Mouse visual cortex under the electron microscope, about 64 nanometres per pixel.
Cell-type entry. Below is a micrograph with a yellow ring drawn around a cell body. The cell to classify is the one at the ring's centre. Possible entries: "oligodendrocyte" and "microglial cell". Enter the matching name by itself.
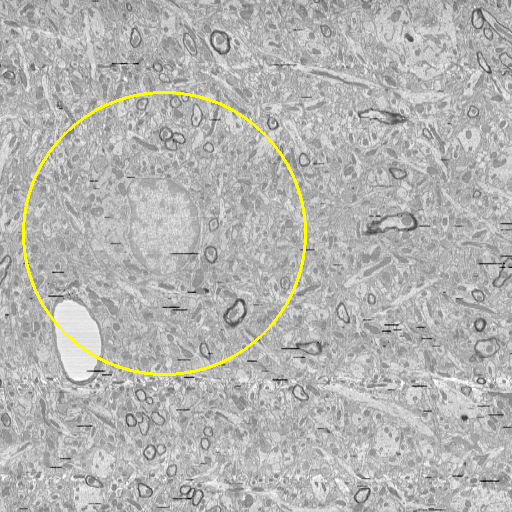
oligodendrocyte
